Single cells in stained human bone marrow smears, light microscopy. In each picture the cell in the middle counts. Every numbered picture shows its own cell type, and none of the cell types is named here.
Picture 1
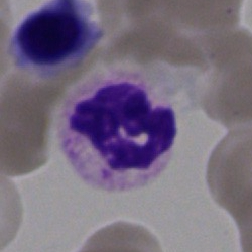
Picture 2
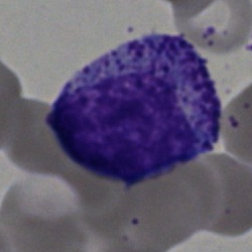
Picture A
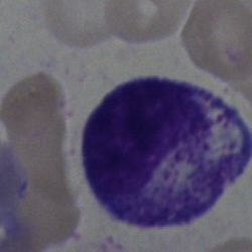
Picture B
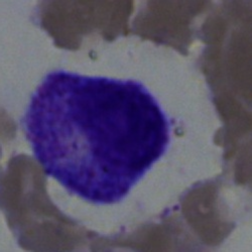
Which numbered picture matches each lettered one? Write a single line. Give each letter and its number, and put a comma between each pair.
A 2, B 2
